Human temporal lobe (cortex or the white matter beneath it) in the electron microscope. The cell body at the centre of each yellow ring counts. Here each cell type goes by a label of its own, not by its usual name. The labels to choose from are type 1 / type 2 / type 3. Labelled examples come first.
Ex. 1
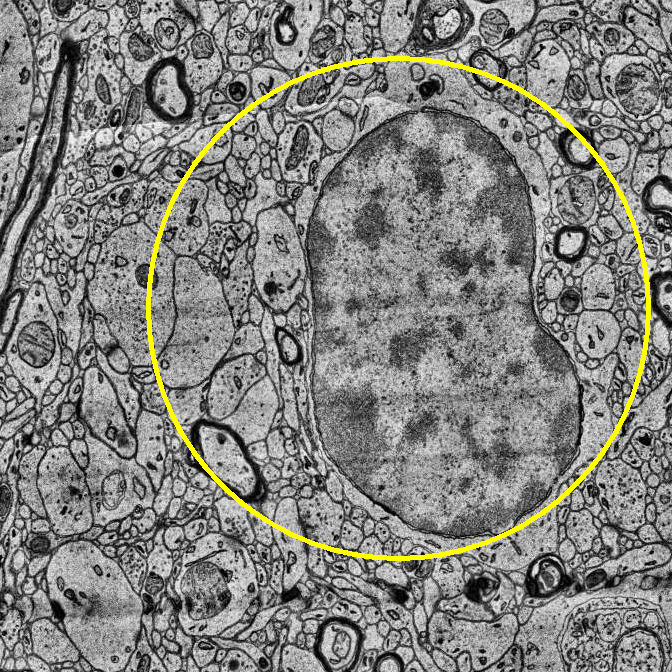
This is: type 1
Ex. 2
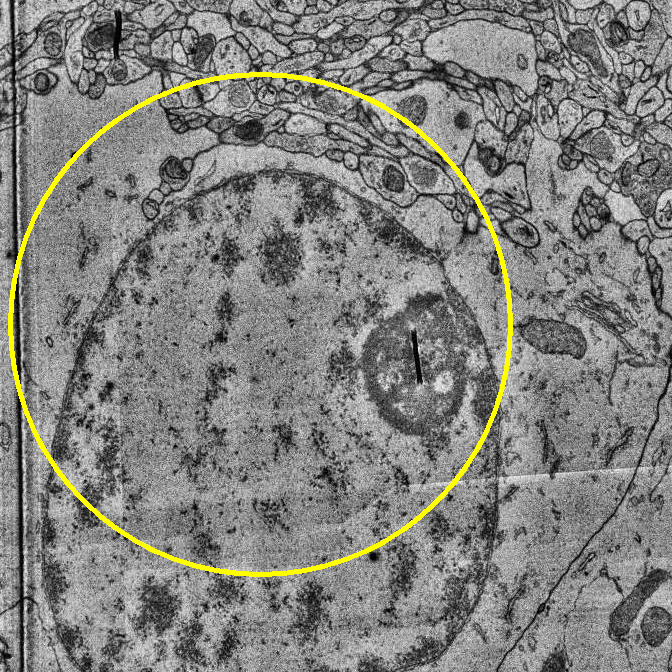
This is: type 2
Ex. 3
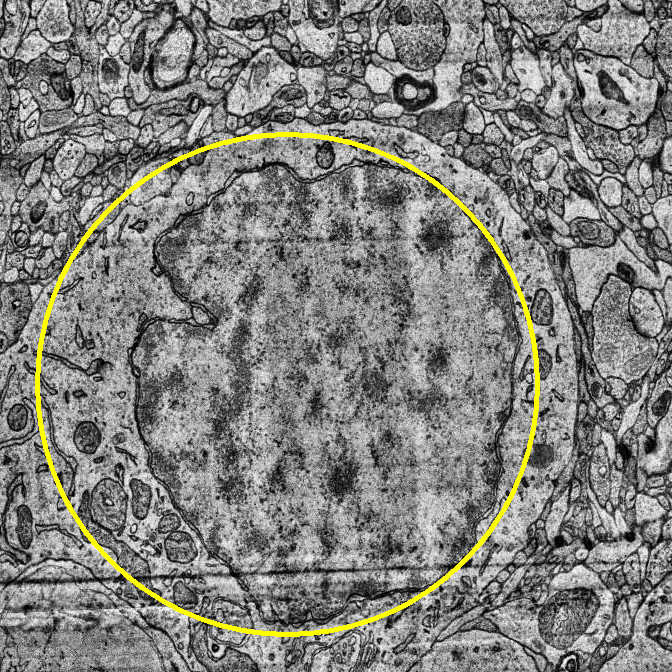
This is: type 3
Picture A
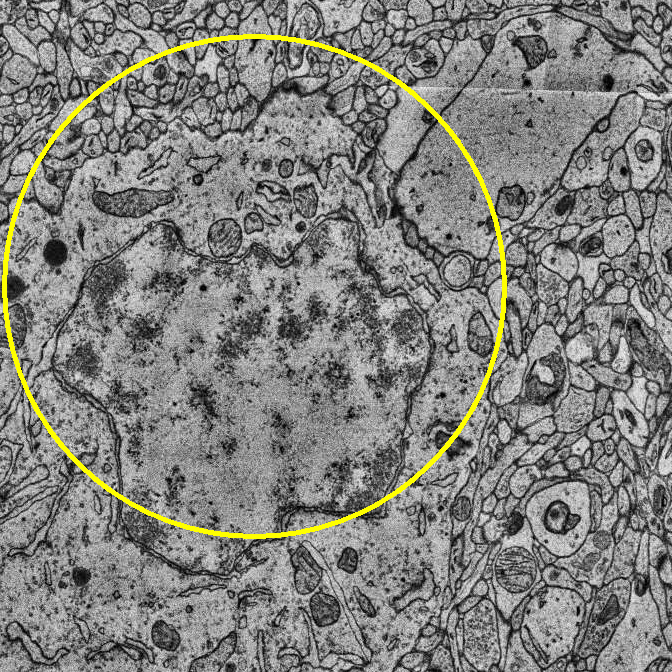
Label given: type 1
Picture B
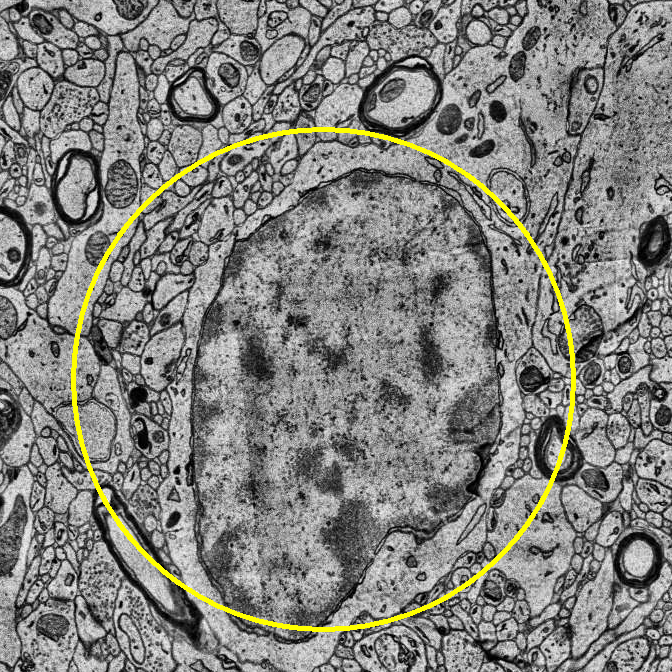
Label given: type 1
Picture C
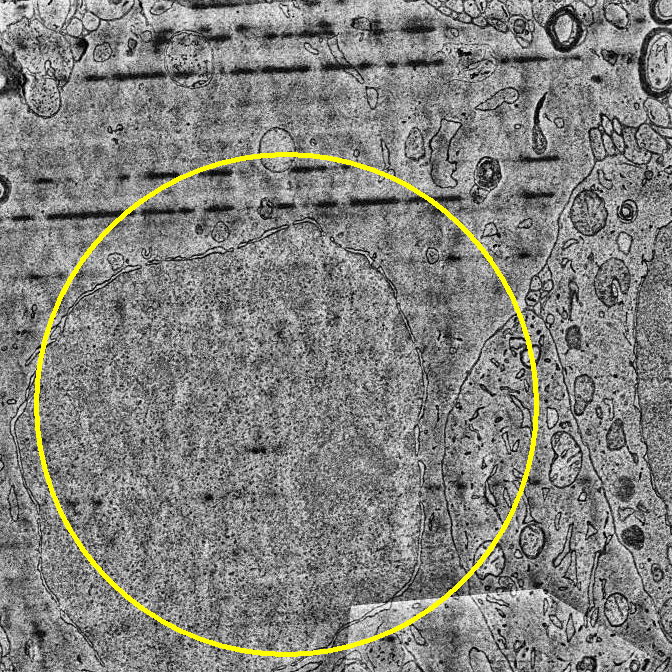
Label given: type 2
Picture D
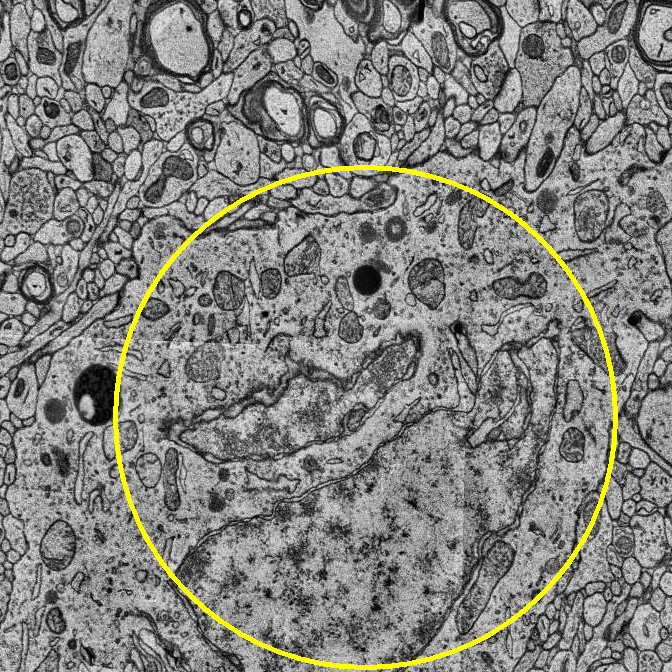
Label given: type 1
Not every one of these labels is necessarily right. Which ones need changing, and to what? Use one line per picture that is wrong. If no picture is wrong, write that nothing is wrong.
A should be type 3, not type 1
D should be type 3, not type 1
